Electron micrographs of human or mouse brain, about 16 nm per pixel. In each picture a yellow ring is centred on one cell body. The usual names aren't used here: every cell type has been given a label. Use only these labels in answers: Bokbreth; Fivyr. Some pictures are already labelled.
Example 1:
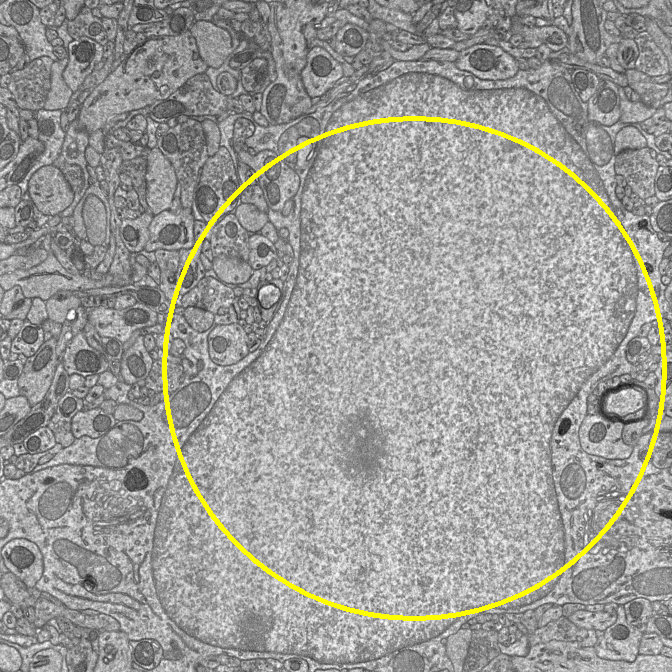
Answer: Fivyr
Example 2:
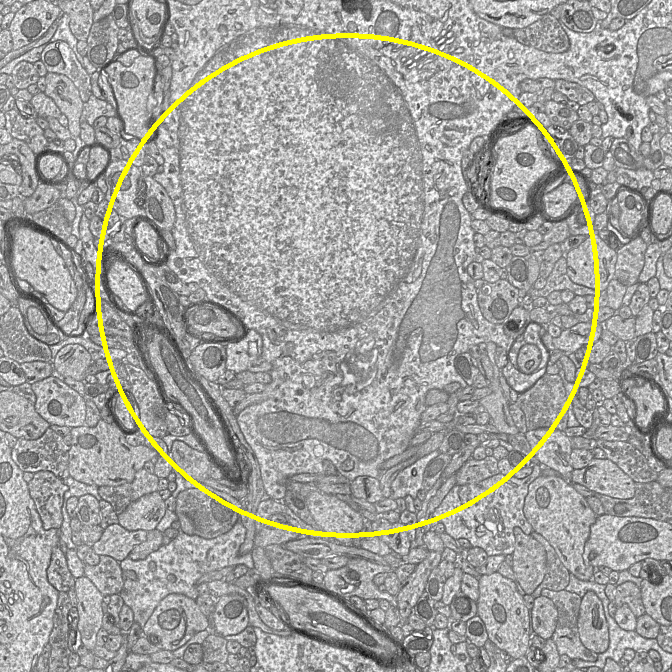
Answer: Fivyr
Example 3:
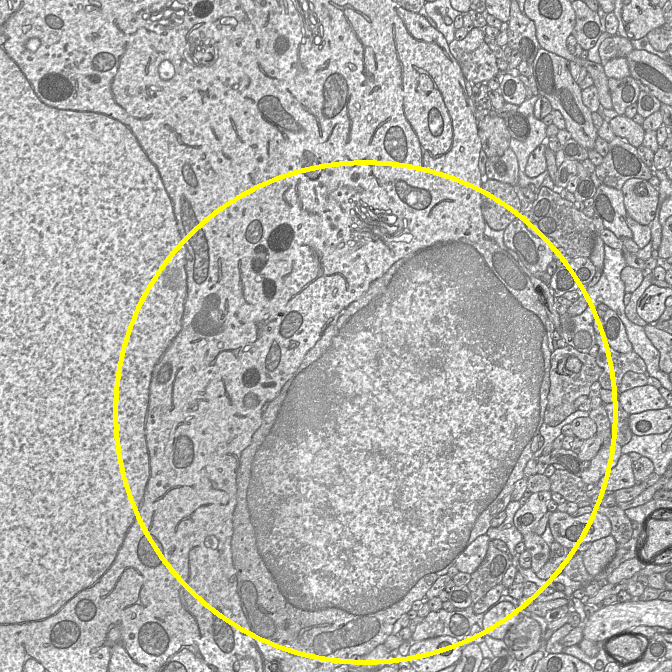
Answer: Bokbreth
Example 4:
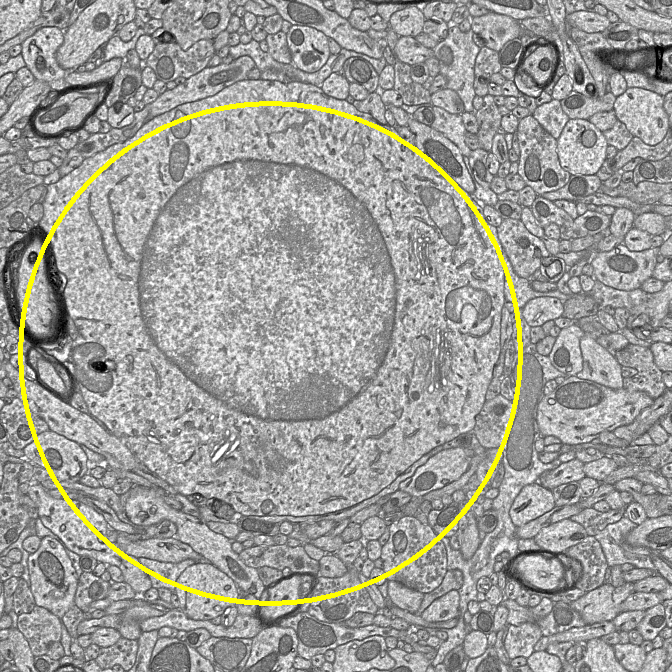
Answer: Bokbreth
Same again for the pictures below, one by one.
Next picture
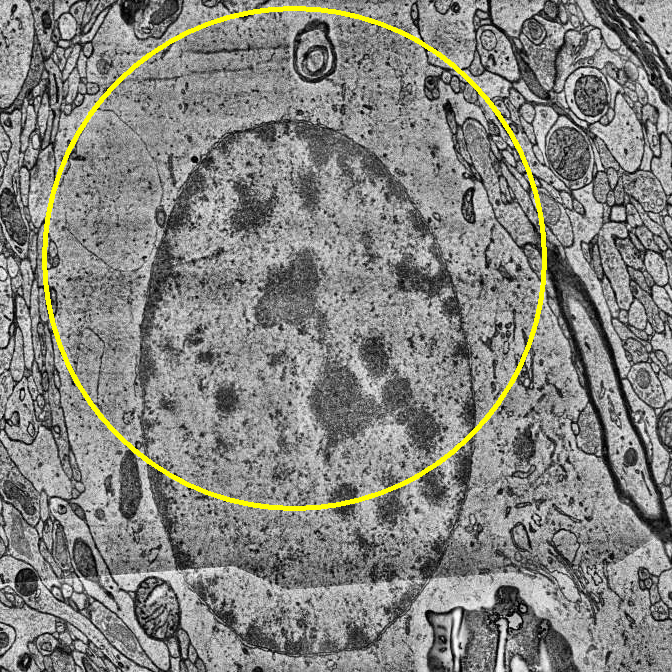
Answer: Fivyr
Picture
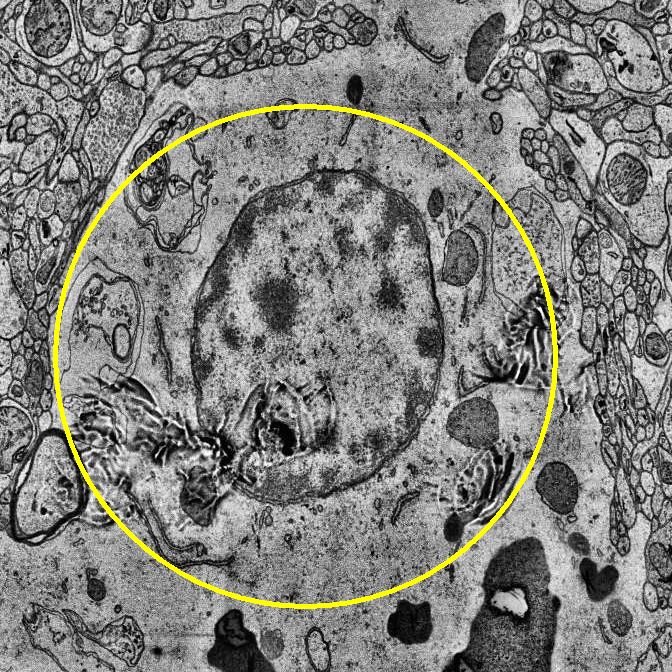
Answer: Fivyr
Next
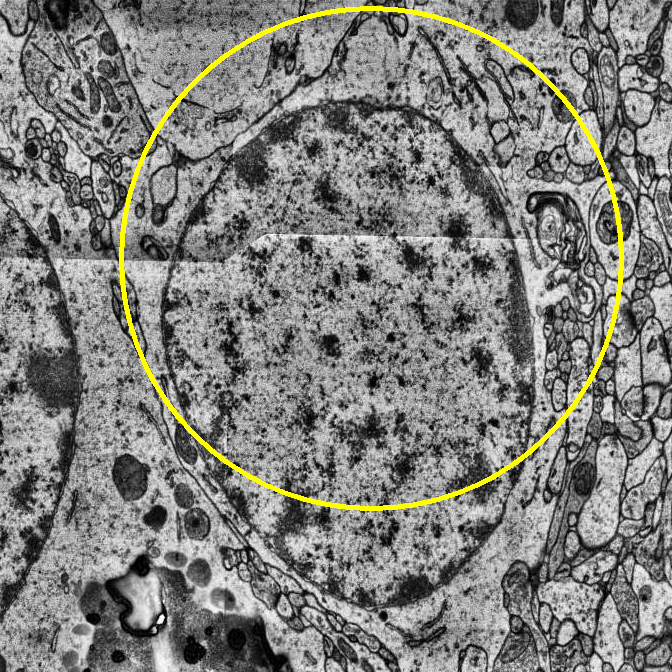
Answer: Fivyr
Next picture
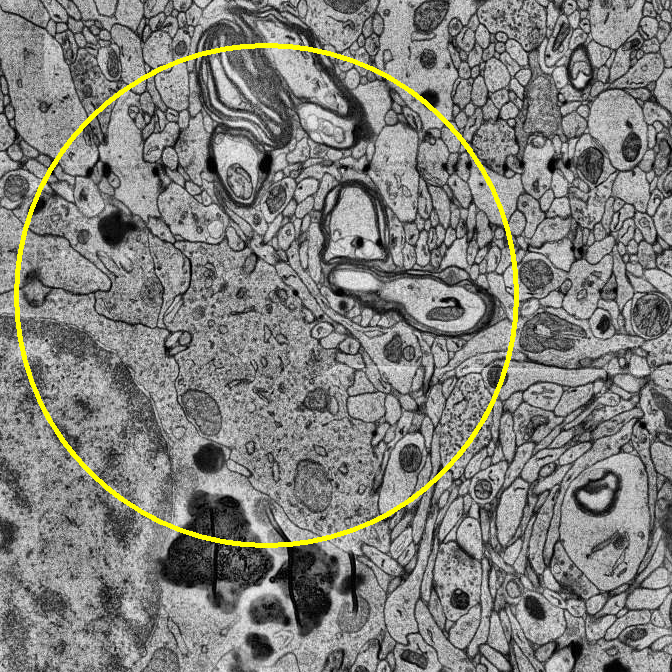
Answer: Bokbreth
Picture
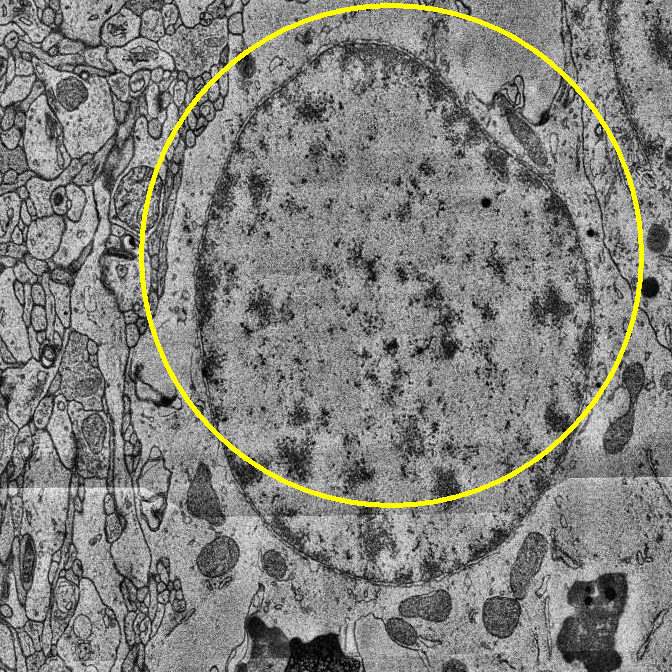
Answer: Fivyr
